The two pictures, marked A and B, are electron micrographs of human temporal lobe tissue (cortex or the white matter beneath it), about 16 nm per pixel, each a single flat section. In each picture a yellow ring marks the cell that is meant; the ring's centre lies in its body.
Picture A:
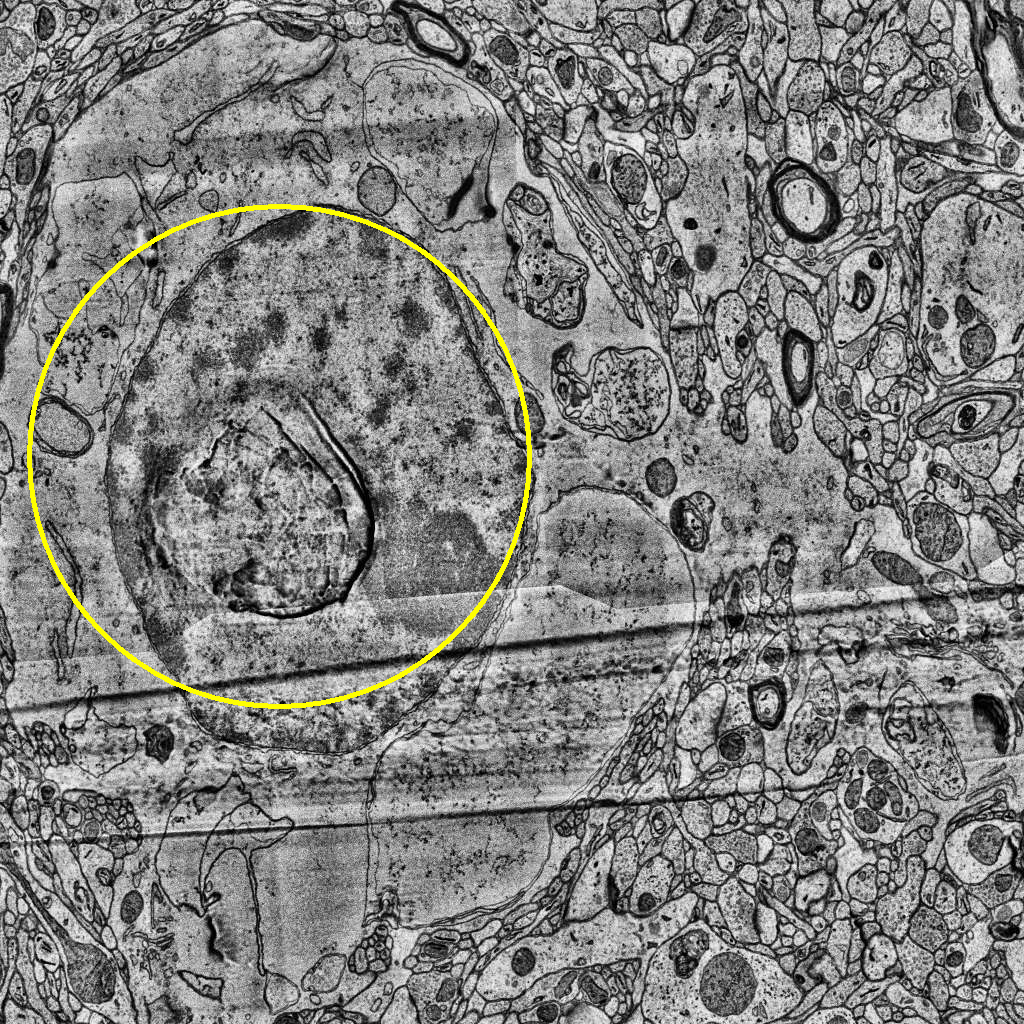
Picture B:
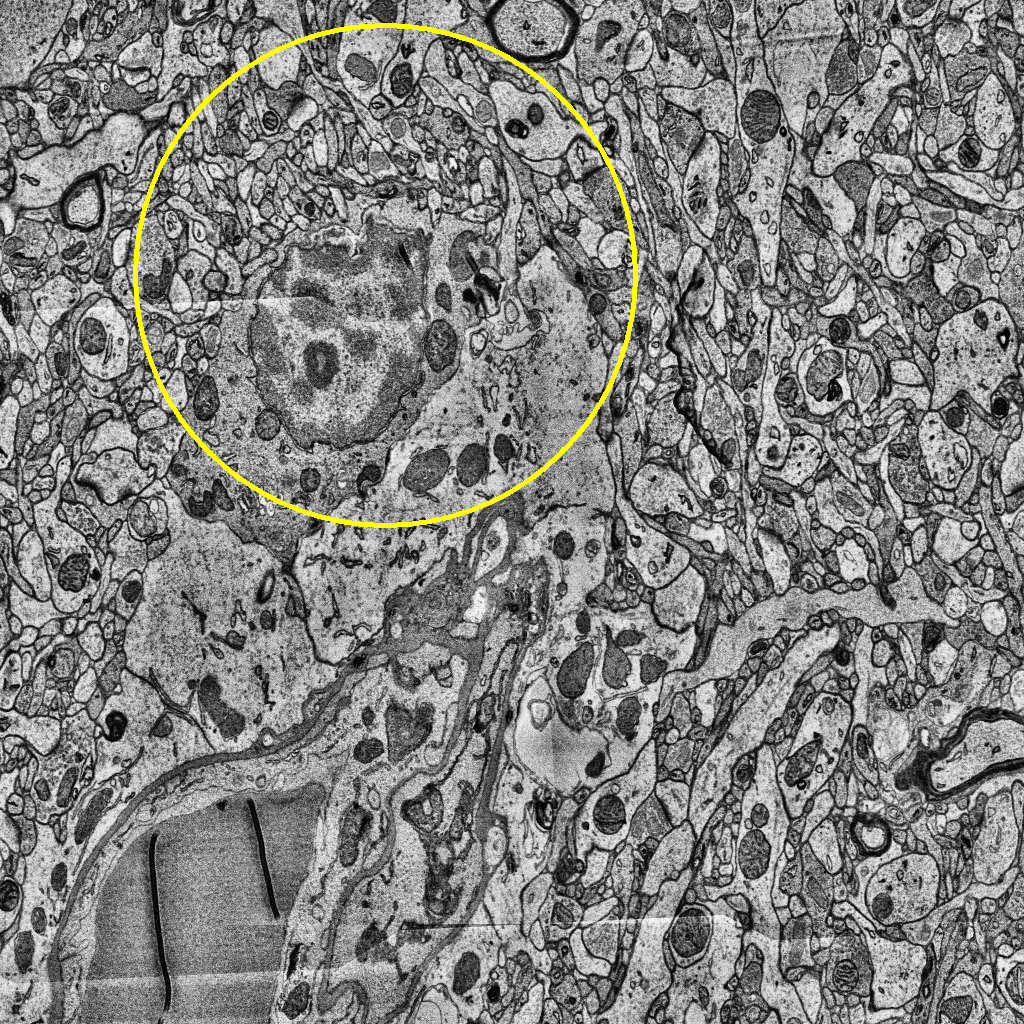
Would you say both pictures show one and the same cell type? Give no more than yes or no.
no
